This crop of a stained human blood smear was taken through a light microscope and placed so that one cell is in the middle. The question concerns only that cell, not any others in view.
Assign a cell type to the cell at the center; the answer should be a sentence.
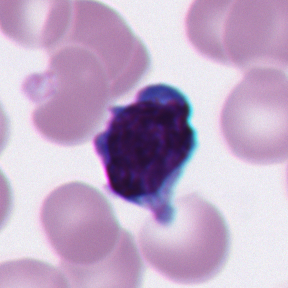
As for the cell in the middle, it is a typical lymphocyte.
